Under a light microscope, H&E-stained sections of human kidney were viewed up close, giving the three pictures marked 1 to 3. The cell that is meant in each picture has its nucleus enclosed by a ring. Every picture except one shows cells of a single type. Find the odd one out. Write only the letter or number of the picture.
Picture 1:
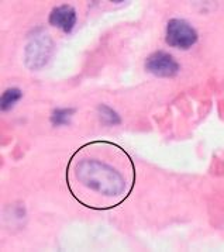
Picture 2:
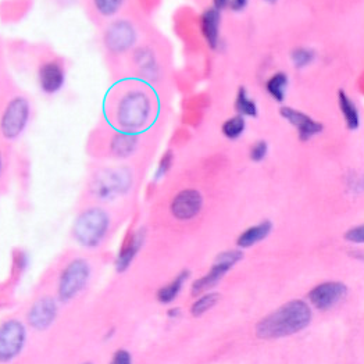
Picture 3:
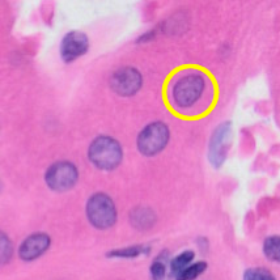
2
